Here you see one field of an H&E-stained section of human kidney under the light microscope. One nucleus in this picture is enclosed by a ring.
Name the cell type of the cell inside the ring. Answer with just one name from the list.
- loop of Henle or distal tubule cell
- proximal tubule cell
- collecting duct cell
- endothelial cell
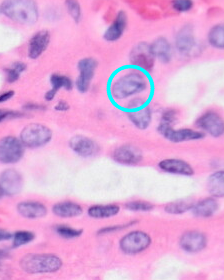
collecting duct cell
